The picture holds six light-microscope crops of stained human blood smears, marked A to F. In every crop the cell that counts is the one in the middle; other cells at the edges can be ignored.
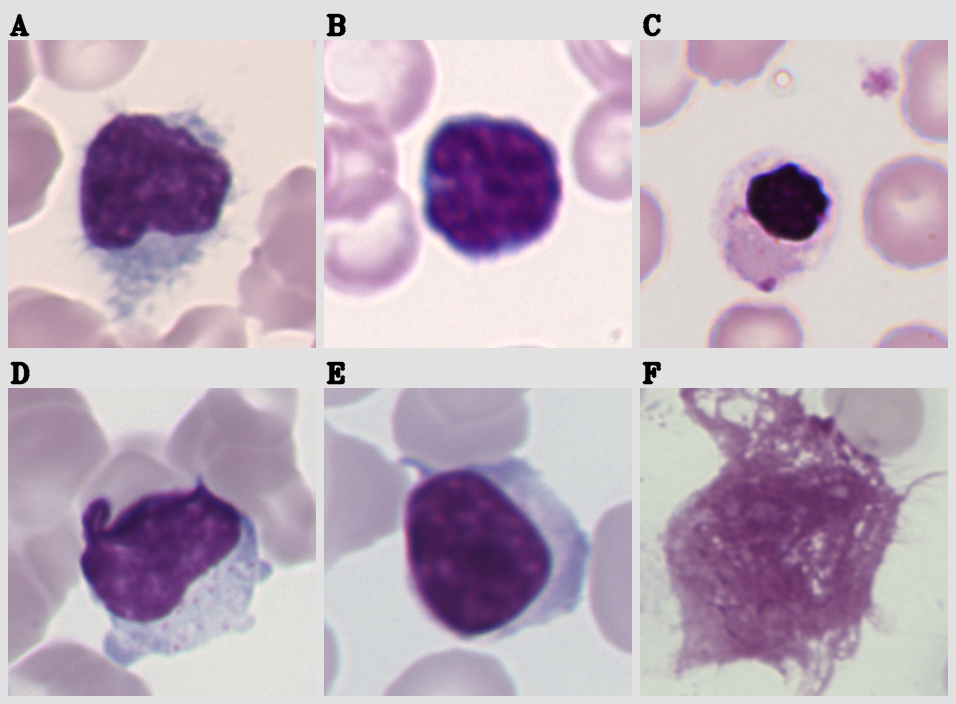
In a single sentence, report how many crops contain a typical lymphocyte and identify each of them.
Altogether two crops, namely B and E, show typical lymphocytes.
